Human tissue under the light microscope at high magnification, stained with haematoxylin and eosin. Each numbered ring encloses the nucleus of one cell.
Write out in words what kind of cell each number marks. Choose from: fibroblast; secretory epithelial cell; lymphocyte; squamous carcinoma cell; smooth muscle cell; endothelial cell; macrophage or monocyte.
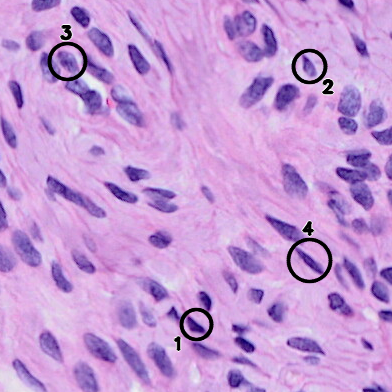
Cells 1, 2 and 4 are fibroblasts. Cell 3 is an endothelial cell.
